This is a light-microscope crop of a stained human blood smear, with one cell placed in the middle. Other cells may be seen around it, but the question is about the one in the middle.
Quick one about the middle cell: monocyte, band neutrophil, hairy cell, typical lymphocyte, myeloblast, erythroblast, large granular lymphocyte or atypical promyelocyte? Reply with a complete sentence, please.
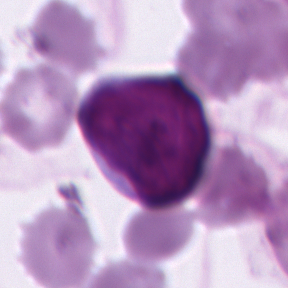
The cell of interest, located centrally, is a myeloblast.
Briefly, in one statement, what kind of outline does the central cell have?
A smooth, projection-free outline is what this cell has.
